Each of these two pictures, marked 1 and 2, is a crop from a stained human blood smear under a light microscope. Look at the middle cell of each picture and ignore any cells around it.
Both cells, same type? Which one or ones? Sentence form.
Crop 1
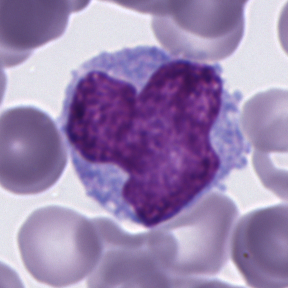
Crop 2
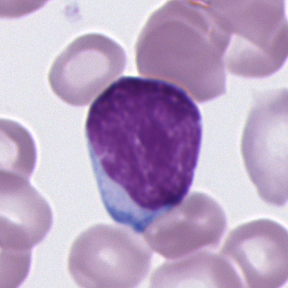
No, crop 1 features a monocyte, and crop 2 features a blast.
